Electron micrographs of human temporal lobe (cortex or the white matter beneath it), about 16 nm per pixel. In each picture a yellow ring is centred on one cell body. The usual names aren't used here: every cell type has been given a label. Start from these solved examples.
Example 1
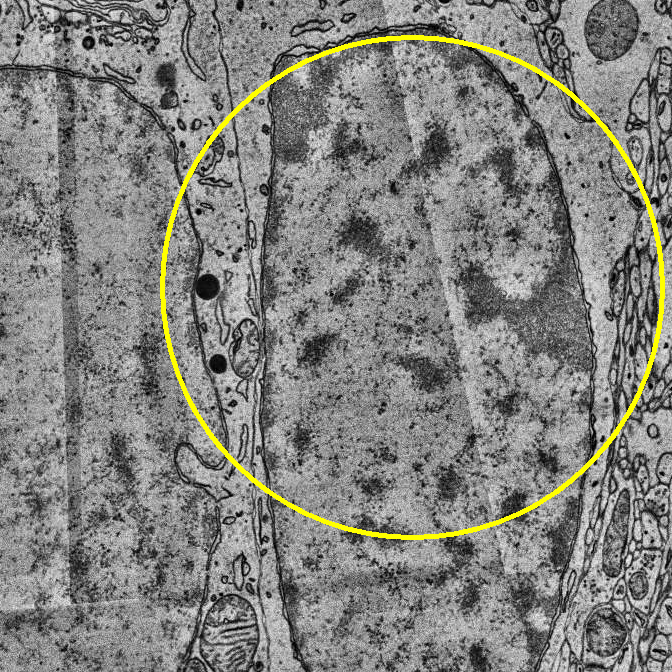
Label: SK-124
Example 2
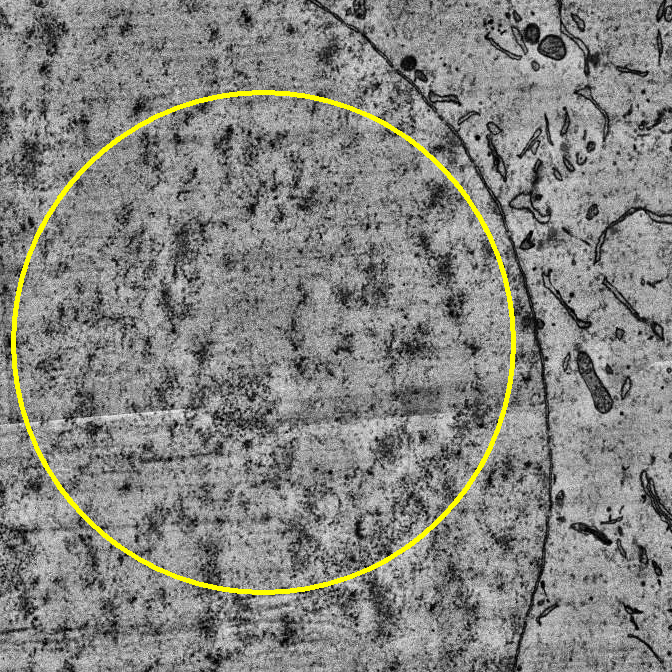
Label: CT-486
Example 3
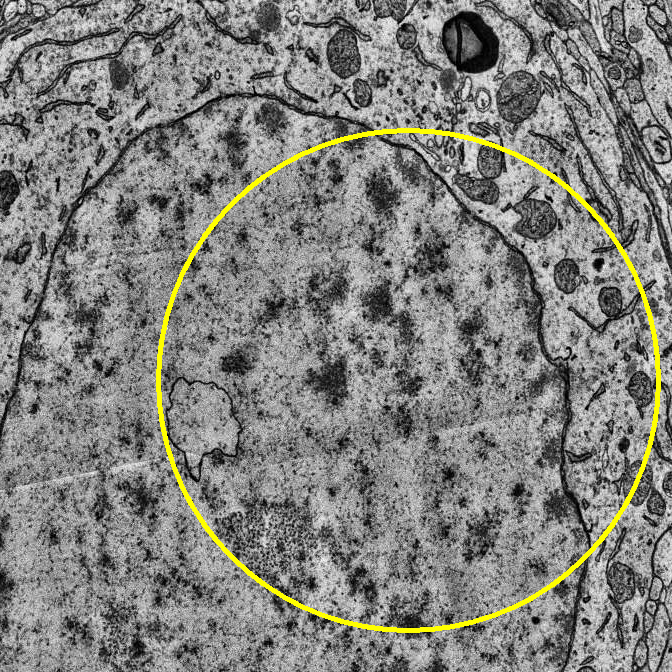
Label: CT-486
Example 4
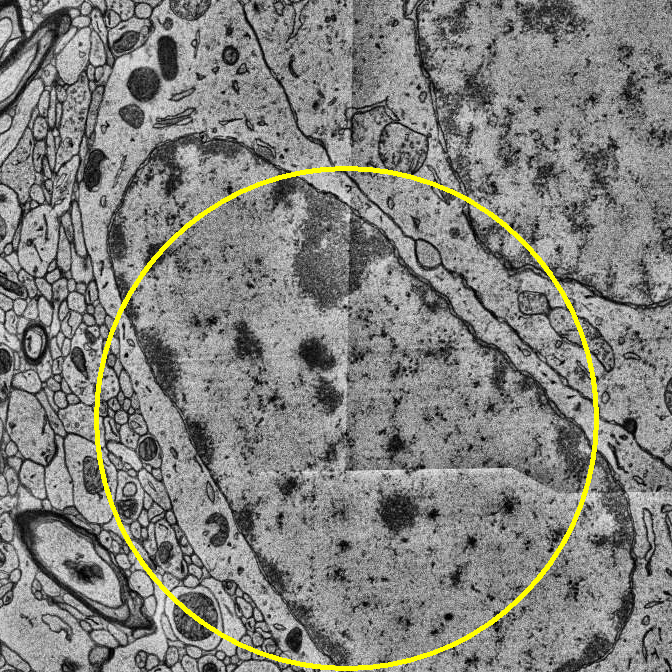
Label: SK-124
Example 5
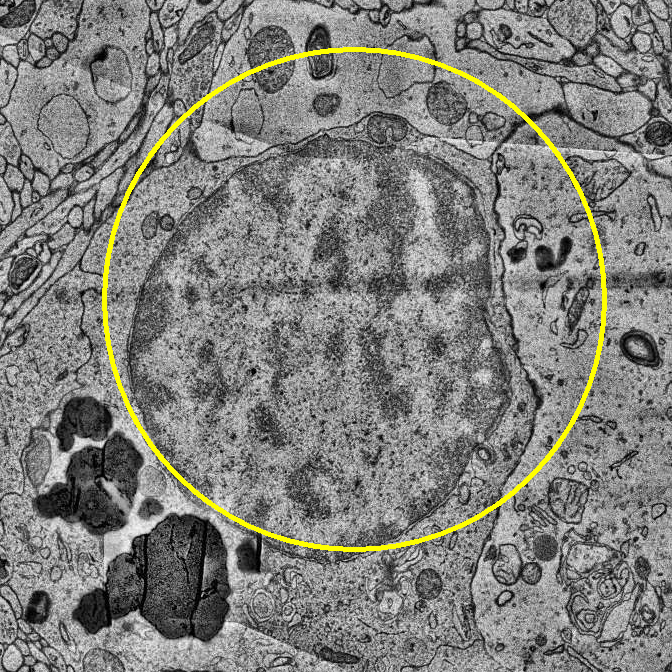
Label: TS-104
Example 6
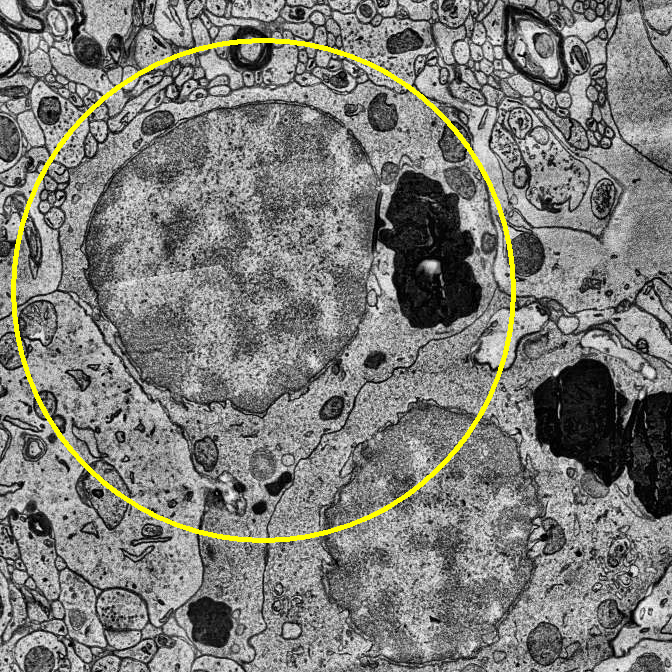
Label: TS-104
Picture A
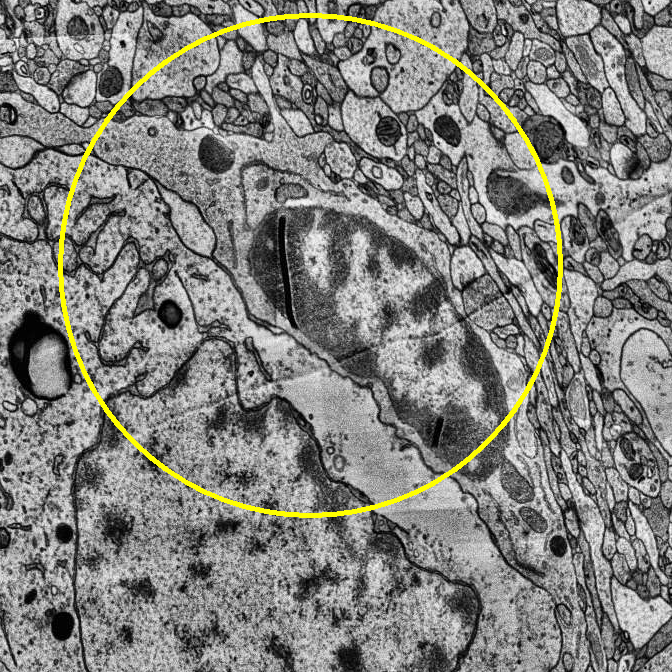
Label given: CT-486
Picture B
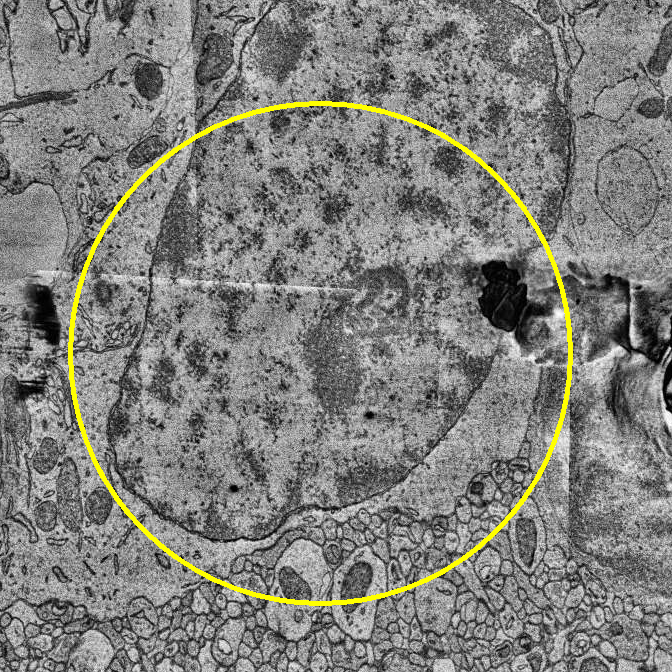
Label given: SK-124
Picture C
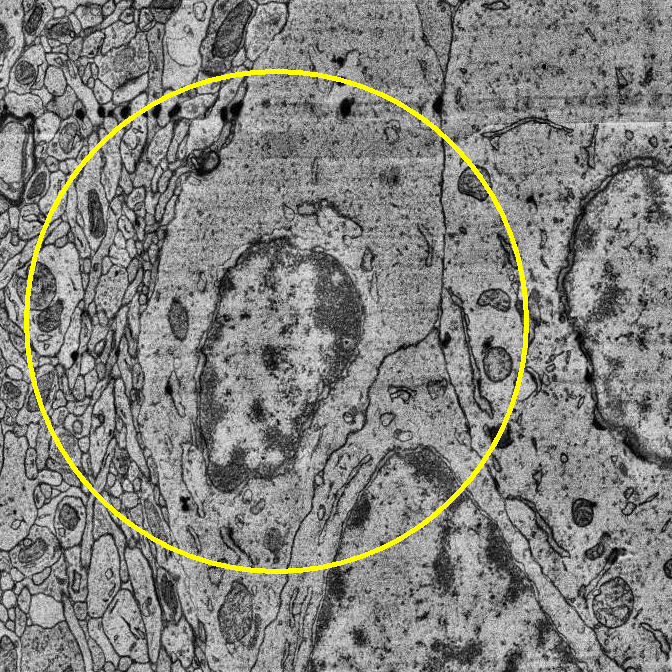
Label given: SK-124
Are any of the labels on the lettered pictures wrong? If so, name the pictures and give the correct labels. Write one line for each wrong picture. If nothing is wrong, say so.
A is labelled CT-486; correct label: SK-124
